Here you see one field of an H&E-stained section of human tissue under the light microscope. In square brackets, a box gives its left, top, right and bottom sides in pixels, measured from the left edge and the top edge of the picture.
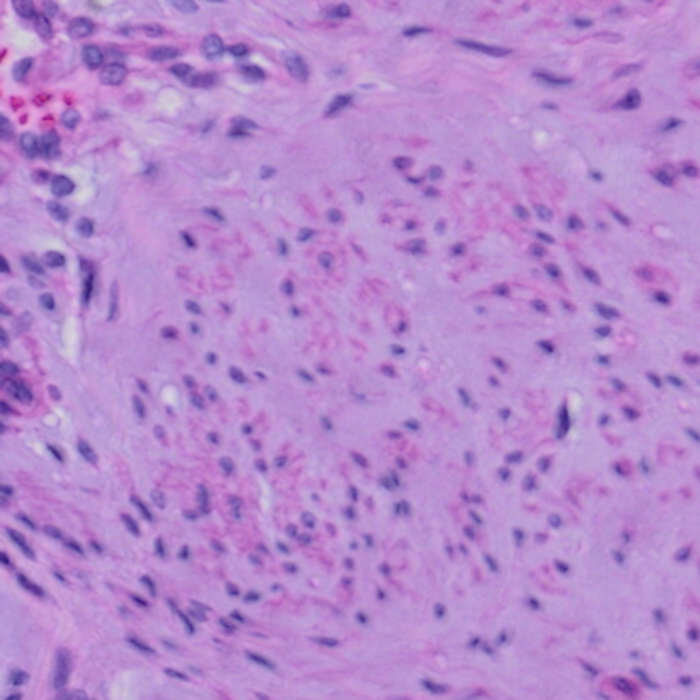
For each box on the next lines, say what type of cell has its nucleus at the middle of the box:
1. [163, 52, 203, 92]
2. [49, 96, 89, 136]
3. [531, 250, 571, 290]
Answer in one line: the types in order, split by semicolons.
endothelial cell; endothelial cell; smooth muscle cell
